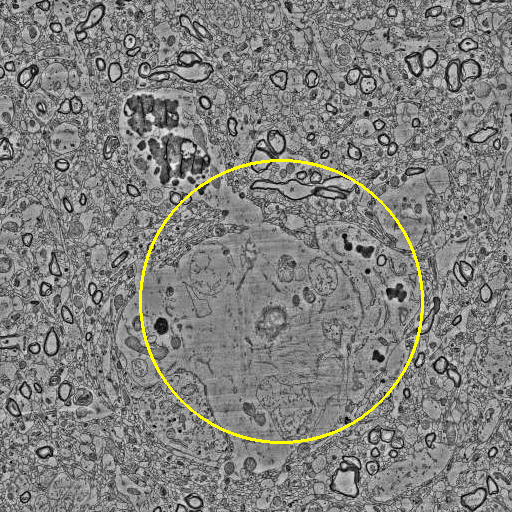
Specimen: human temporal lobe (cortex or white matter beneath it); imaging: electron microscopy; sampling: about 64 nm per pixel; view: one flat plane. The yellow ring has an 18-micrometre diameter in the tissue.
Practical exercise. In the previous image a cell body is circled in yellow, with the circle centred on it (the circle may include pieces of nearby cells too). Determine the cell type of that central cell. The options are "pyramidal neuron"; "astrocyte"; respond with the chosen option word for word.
astrocyte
